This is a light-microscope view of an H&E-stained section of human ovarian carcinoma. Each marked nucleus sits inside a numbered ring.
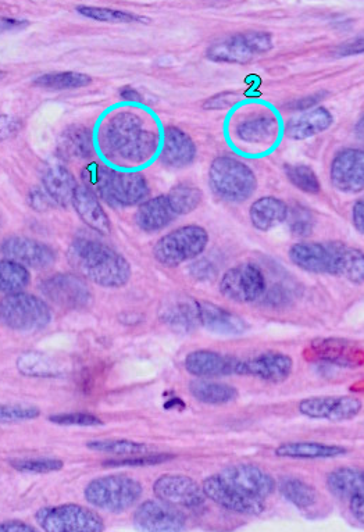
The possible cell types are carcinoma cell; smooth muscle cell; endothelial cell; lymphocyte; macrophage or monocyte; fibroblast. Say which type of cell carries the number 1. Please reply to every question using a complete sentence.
It is as a carcinoma cell that the cell numbered 1 is identified.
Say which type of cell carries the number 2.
The numbered cell 2 is identified here as a fibroblast.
